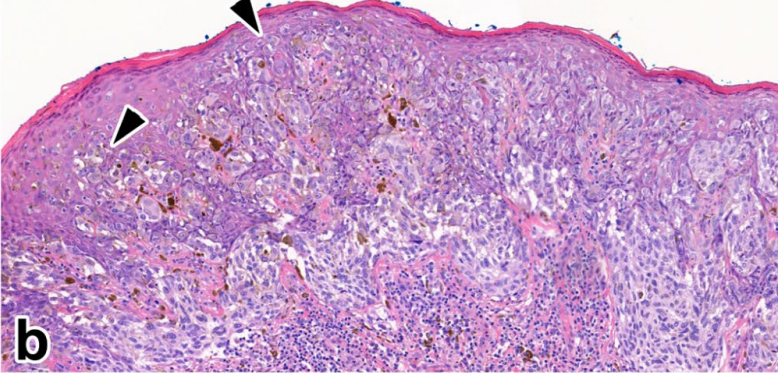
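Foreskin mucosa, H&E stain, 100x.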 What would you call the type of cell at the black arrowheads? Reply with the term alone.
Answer: melanocytes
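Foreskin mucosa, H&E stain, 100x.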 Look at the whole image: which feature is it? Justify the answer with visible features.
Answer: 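Clusters of pale, large cells of uneven size and shape sit along and within the epithelium. The clusters are unequally spaced and some merge with one another.
Irregular nests.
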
